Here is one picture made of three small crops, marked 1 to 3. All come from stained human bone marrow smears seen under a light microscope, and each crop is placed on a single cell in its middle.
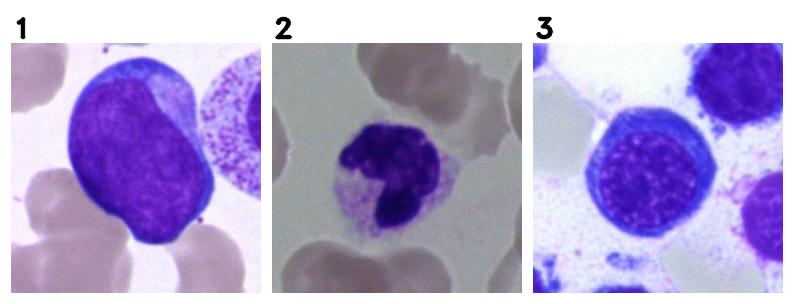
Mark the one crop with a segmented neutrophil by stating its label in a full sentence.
Here the crop that shows a segmented neutrophil is crop 2.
